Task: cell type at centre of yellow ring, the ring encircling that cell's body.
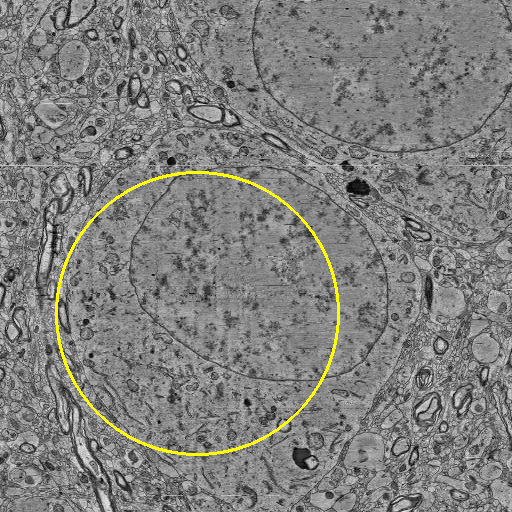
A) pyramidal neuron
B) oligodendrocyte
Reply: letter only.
A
